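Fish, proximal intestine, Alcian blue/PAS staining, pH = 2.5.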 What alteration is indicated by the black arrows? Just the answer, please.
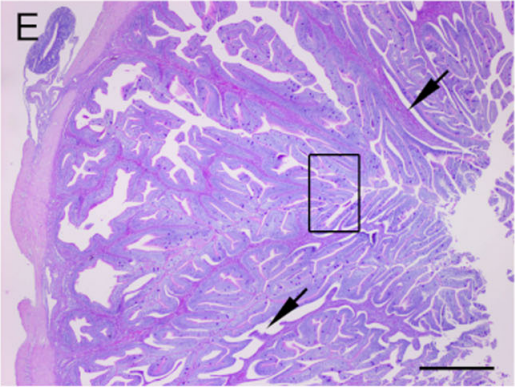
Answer: detachment of lamina epithelialis from the lamina propria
